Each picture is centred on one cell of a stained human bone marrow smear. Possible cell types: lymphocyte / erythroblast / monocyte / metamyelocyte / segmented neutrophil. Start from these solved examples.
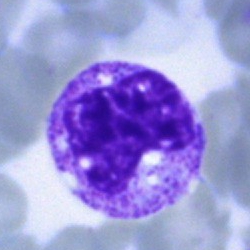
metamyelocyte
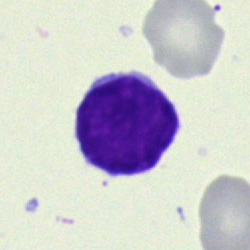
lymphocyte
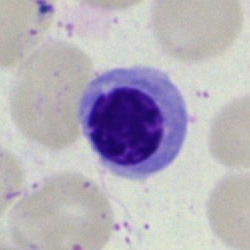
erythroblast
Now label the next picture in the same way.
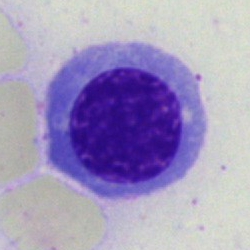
erythroblast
